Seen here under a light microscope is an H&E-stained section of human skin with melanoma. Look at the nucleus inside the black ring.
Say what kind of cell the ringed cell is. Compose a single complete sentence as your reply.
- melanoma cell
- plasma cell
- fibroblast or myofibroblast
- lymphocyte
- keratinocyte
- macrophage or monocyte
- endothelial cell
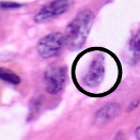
Cell type answer for this item: the ringed cell is a melanoma cell.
